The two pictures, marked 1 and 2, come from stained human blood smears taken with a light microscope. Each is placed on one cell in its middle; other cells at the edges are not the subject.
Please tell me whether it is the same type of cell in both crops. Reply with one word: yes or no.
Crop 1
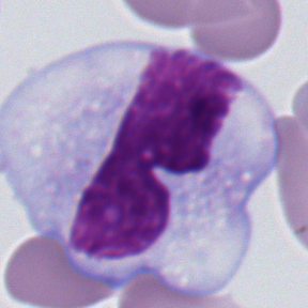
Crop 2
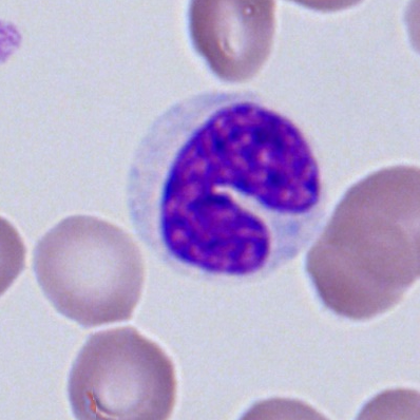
yes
